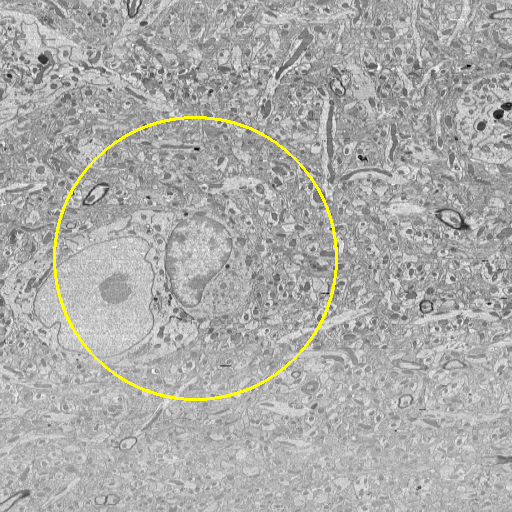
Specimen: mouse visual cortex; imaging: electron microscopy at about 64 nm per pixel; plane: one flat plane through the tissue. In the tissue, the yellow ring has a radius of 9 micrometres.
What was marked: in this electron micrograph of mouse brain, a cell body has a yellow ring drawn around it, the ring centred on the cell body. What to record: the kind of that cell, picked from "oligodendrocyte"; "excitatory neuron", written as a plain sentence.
The centred cell is an oligodendrocyte.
